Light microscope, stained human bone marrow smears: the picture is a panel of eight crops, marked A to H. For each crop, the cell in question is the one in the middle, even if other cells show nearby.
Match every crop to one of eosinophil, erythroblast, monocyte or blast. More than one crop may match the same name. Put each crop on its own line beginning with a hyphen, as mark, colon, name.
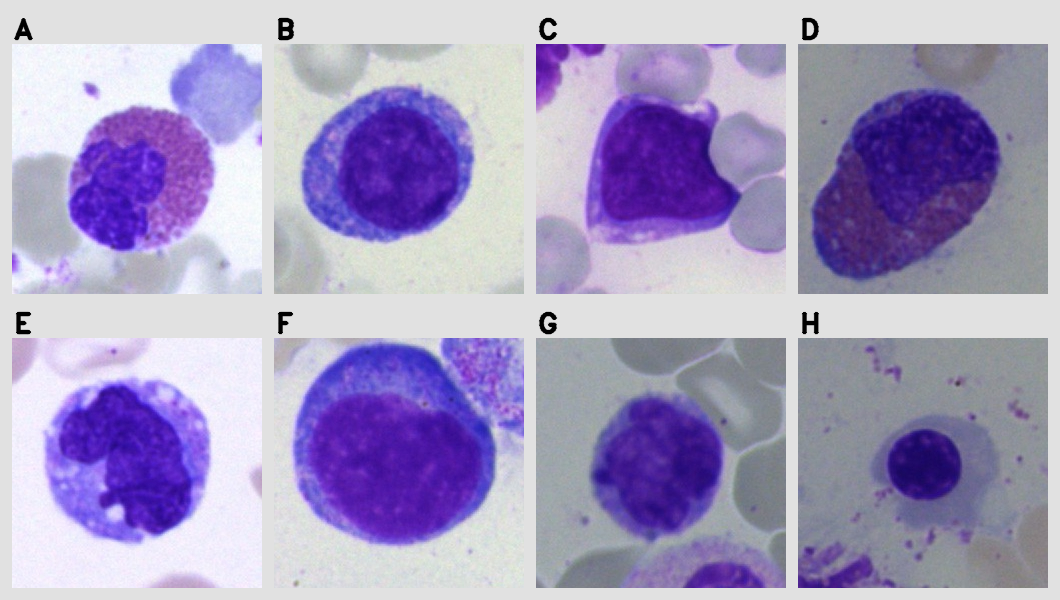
- A: eosinophil
- B: blast
- C: blast
- D: eosinophil
- E: monocyte
- F: blast
- G: monocyte
- H: erythroblast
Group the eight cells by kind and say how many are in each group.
blast: 3
eosinophil: 2
monocyte: 2
erythroblast: 1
